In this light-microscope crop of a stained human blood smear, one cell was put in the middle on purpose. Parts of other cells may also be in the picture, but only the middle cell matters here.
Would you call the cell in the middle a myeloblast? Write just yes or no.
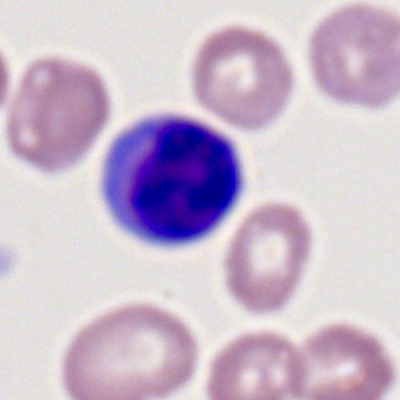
no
